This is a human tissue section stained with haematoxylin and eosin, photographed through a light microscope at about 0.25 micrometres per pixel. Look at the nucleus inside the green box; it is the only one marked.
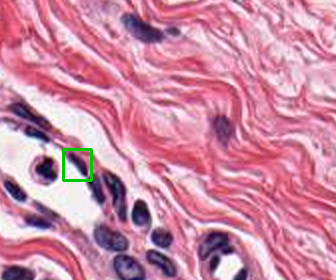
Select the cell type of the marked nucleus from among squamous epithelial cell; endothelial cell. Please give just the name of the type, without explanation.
endothelial cell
